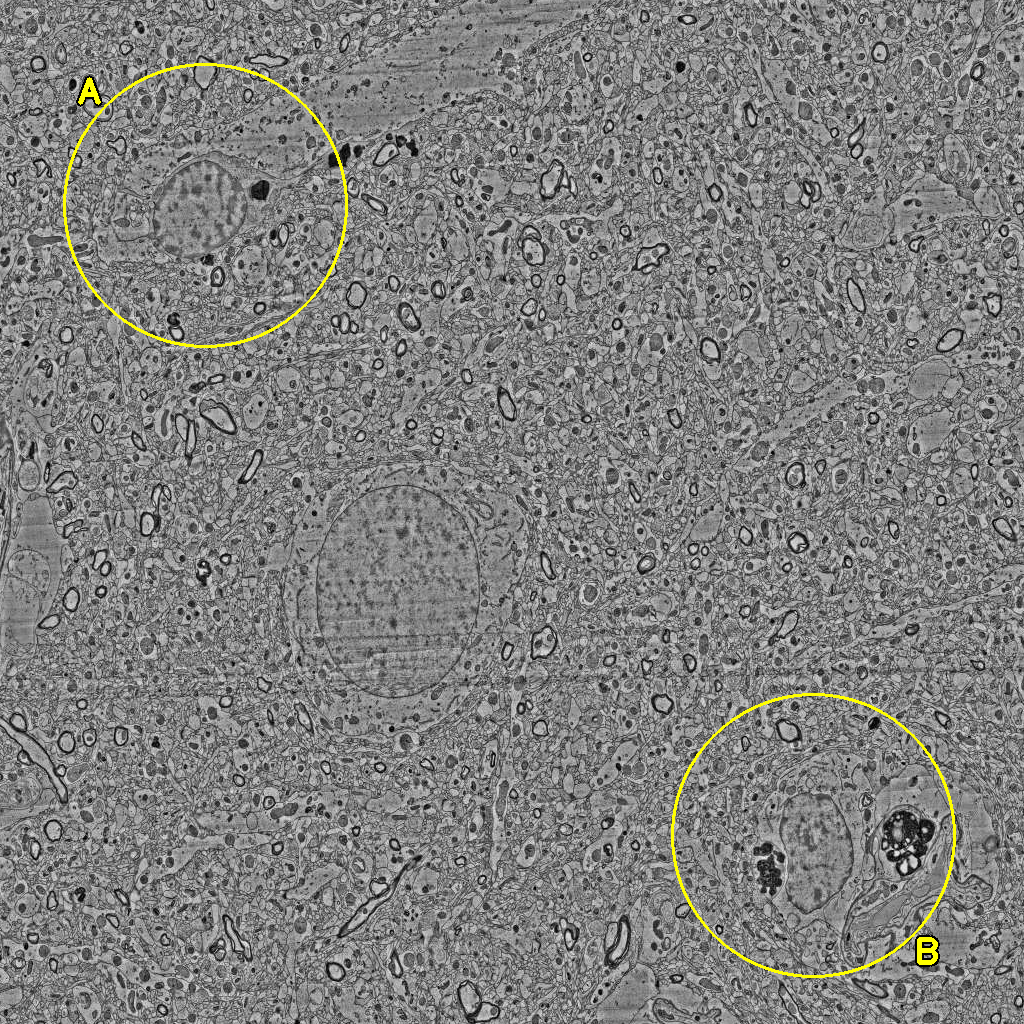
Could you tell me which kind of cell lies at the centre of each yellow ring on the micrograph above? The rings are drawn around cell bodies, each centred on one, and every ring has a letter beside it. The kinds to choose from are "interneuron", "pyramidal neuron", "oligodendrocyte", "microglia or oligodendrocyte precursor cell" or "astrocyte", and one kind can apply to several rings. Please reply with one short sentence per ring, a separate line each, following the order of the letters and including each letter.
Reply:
Ring A circles an oligodendrocyte.
Ring B circles a microglial cell or oligodendrocyte precursor cell.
